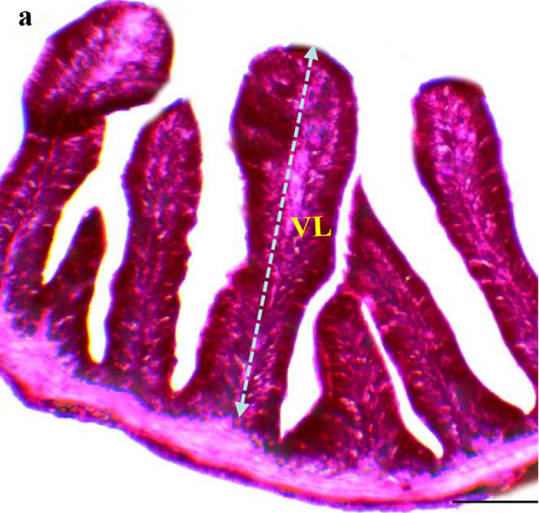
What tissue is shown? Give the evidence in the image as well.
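Tall finger-like mucosal projections rise from a thin wall. The projections are lined by a columnar epithelium. A thin pale layer lies beneath the bases of the projections.
Answer: Intestinal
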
